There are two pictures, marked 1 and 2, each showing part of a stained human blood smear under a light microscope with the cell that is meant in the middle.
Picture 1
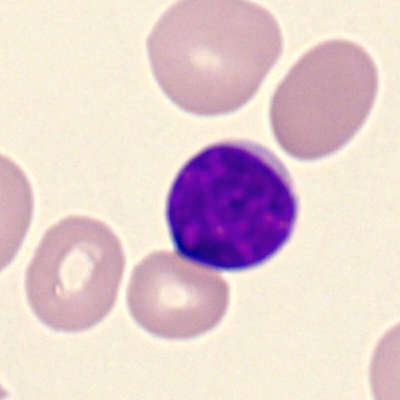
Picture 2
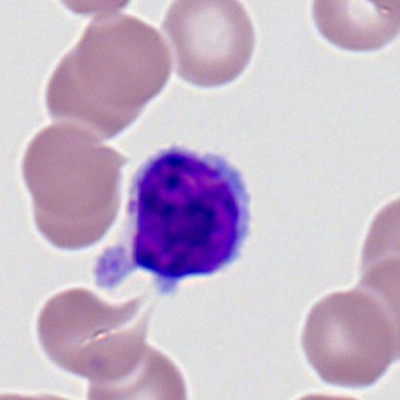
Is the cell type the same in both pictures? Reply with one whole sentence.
Yes, both are lymphocytes.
